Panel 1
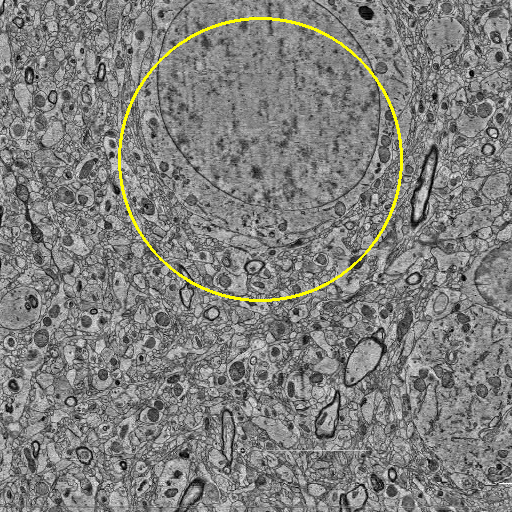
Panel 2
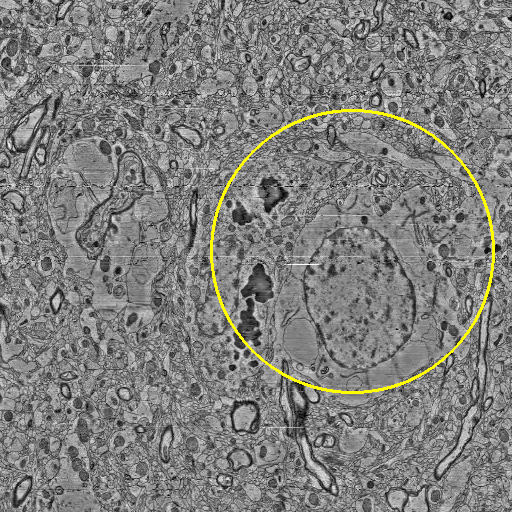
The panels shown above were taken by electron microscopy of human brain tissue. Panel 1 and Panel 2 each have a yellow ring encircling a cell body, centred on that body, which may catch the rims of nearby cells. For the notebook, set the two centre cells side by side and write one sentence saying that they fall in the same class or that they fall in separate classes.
The centred cells of Panel 1 and Panel 2 fall in separate classes.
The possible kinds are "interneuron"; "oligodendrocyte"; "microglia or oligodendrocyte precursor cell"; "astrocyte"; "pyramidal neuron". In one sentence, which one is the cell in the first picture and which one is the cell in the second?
The cell ringed in the second picture is an astrocyte, whereas the one ringed in the first is a pyramidal neuron.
